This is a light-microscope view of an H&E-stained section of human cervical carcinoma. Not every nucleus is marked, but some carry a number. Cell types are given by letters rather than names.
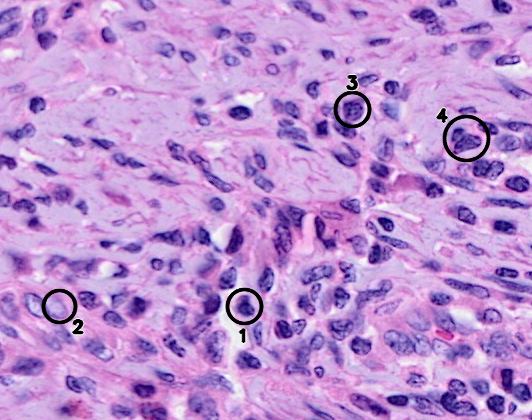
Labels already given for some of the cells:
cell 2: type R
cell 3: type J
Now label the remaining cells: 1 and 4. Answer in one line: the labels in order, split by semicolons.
type J; type J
